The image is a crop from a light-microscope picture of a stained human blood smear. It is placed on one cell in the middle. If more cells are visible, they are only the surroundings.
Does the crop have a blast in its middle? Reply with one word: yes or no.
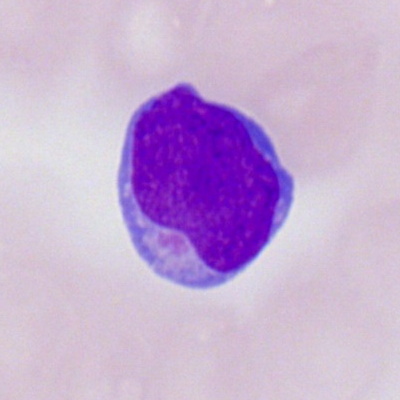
yes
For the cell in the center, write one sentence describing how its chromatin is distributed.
The chromatin pattern is fine and free of coarse clumps.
